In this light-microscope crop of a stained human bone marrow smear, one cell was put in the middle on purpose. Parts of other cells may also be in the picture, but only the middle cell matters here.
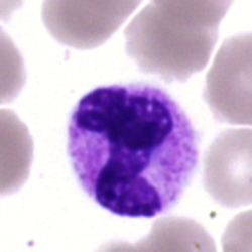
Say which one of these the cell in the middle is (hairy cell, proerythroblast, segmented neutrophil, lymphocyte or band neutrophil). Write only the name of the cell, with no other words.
segmented neutrophil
